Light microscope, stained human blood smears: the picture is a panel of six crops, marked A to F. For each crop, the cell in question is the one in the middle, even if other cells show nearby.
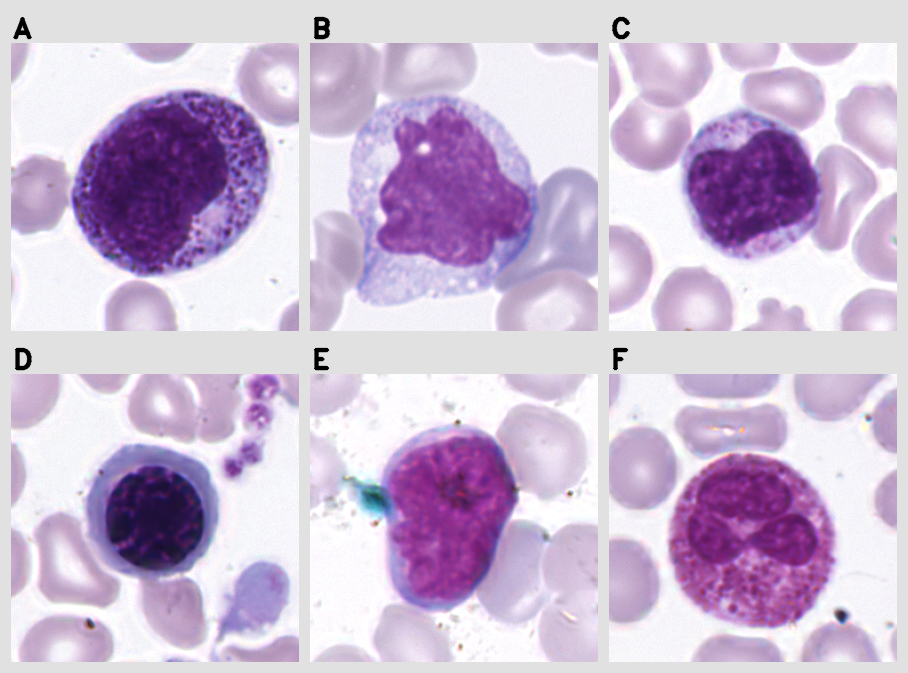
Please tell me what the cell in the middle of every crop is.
A: promyelocyte
B: monocyte
C: metamyelocyte
D: erythroblast
E: myeloblast
F: eosinophil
